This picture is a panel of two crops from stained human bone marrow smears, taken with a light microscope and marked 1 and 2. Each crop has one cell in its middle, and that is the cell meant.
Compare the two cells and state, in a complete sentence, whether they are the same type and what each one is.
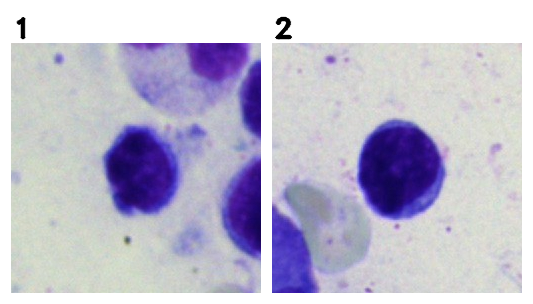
Yes, both crops contain lymphocytes at their centres.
